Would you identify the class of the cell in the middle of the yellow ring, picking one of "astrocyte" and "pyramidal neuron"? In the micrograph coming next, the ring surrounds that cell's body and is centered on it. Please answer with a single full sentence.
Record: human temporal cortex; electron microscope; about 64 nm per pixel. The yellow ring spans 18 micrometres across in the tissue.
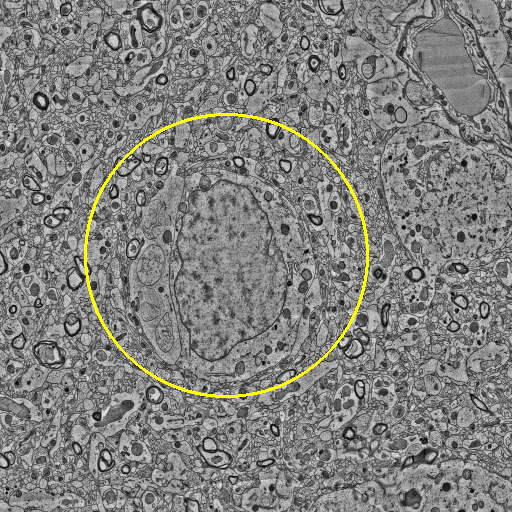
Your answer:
In the micrograph, it is a pyramidal neuron whose body lies at the ring's center.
